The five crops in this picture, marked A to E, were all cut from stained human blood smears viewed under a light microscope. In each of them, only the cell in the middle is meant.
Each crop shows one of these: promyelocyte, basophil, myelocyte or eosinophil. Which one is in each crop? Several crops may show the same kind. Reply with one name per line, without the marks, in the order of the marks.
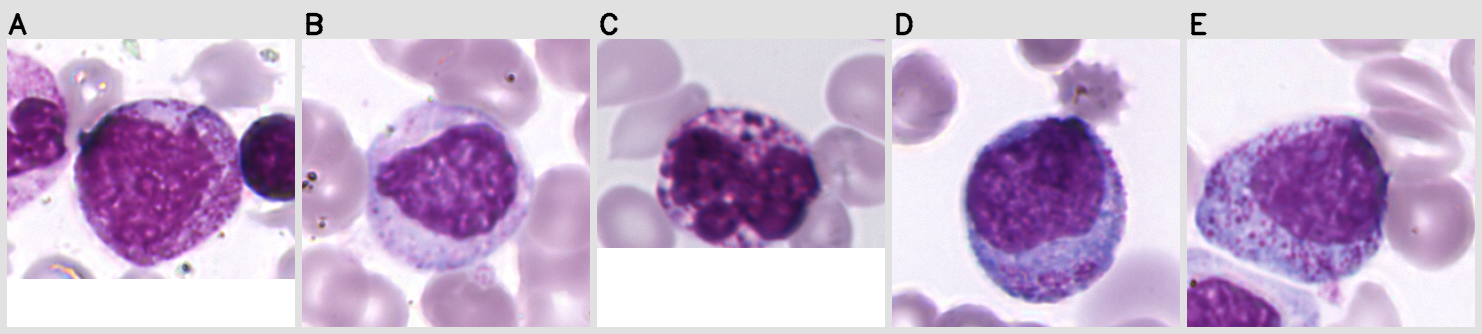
myelocyte
myelocyte
basophil
promyelocyte
promyelocyte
